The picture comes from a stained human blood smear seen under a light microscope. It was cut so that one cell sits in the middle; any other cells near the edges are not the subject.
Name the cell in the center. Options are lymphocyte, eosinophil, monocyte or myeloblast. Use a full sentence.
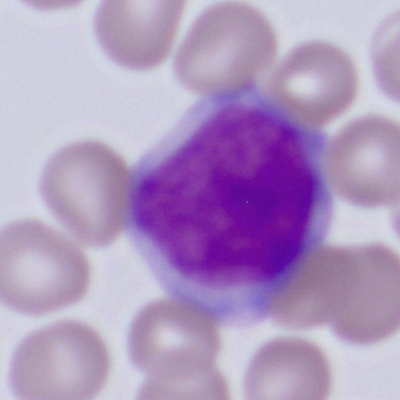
The cell the crop is centered on is a myeloblast.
